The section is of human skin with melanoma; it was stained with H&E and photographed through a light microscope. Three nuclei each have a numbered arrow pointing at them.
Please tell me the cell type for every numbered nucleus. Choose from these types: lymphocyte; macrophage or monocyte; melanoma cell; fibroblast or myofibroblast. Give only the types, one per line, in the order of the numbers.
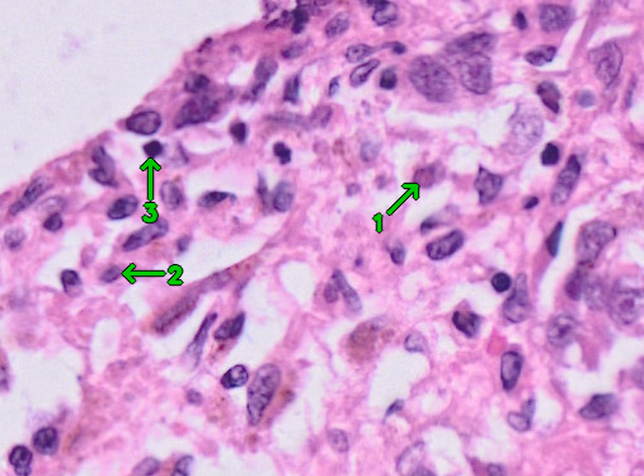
melanoma cell
macrophage or monocyte
lymphocyte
